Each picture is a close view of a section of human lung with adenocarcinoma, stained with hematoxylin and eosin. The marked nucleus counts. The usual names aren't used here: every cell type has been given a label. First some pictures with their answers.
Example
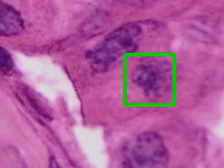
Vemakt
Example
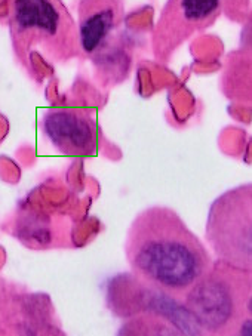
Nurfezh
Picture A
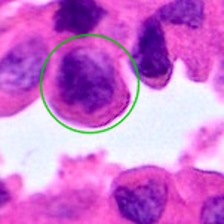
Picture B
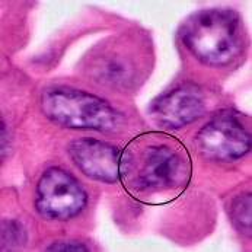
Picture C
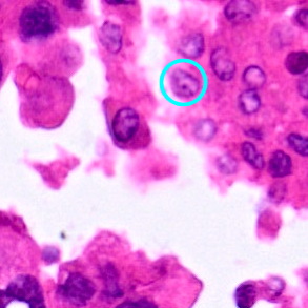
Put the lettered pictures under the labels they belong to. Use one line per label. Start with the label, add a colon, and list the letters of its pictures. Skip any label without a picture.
Vemakt: A, B
Nurfezh: C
